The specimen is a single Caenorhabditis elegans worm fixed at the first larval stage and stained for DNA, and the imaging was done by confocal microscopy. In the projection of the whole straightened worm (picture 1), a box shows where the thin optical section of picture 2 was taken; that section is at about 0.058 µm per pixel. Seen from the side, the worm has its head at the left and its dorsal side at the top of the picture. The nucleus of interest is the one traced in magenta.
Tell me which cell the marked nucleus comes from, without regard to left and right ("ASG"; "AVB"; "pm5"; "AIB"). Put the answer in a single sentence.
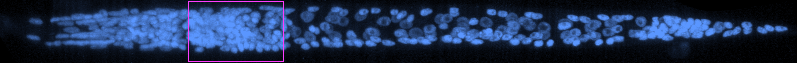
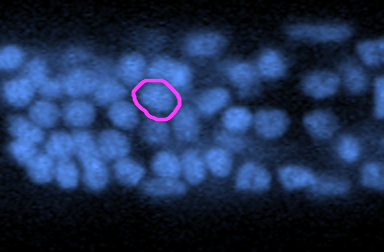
It is the nucleus of AVB, a neuron.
